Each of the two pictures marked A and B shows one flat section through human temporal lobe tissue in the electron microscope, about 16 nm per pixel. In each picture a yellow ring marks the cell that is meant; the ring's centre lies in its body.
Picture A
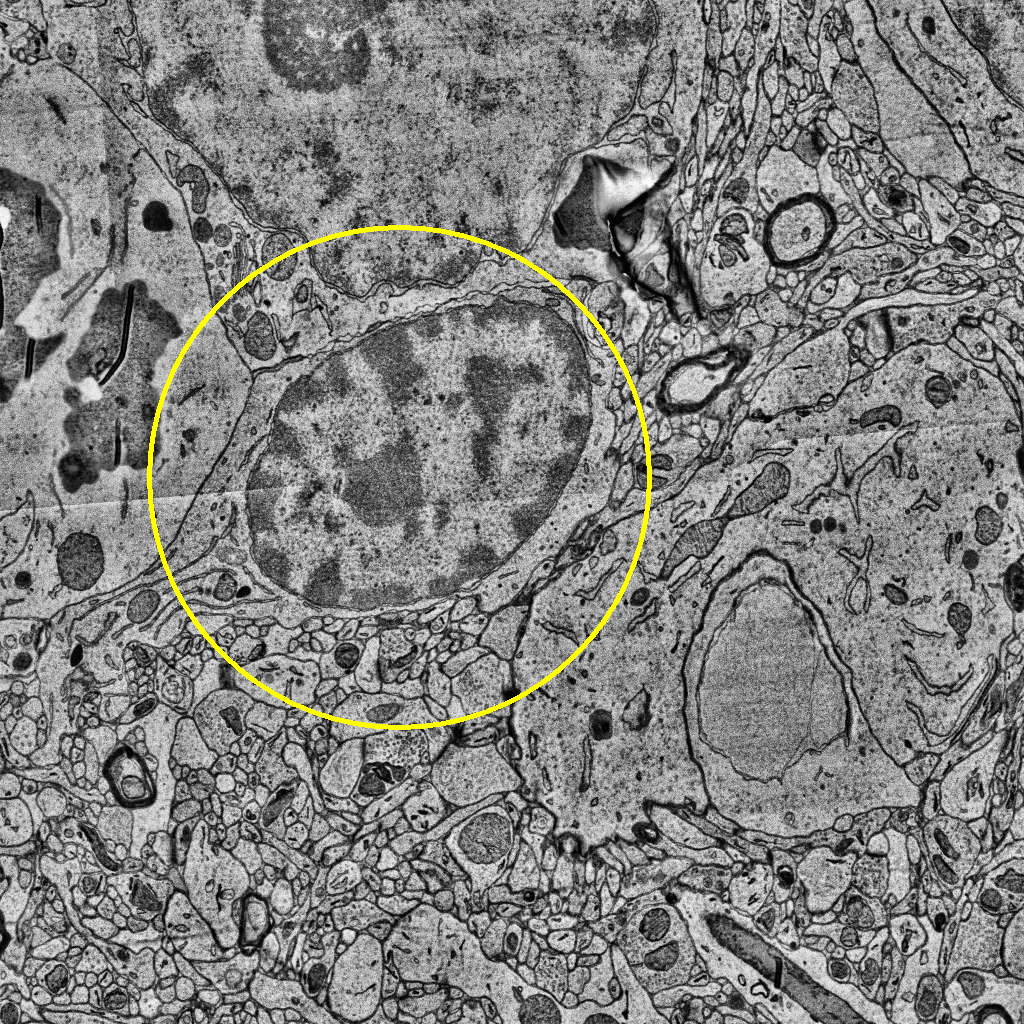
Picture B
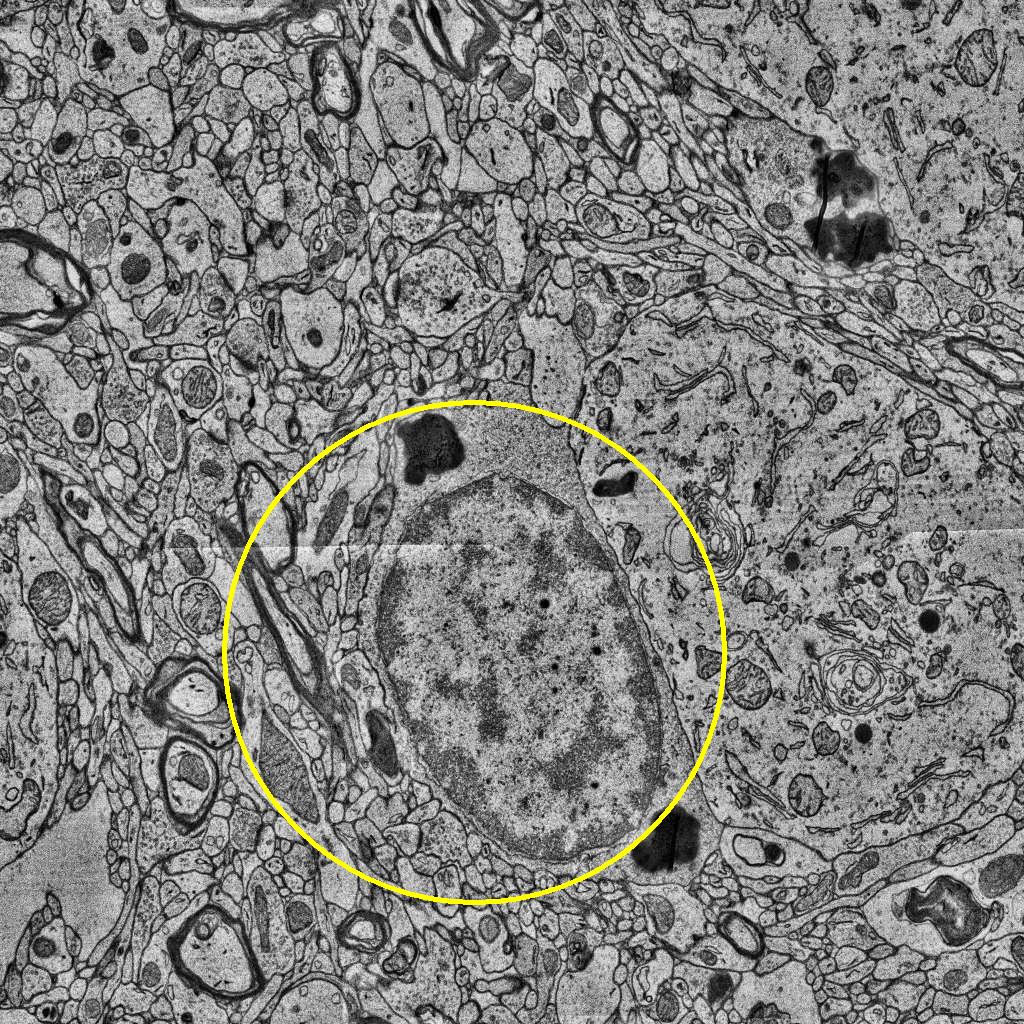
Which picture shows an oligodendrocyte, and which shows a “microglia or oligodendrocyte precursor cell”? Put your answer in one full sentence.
Picture B shows an oligodendrocyte, while picture A shows a “microglia or oligodendrocyte precursor cell”.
